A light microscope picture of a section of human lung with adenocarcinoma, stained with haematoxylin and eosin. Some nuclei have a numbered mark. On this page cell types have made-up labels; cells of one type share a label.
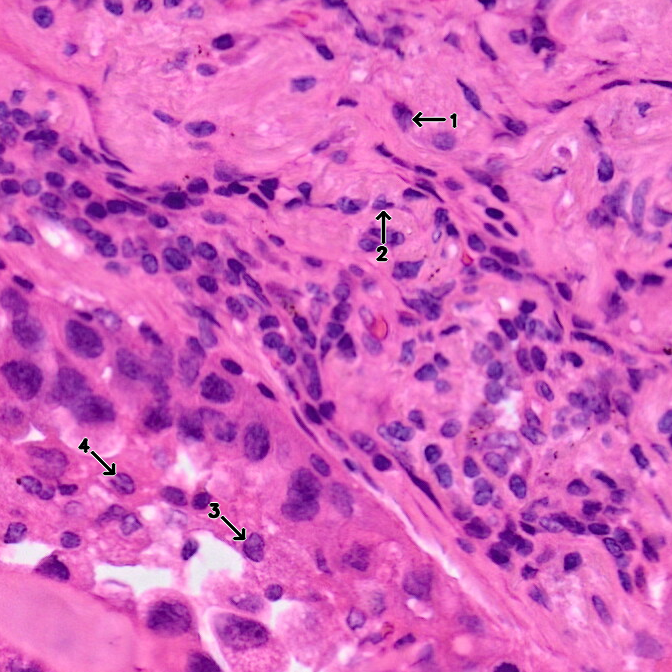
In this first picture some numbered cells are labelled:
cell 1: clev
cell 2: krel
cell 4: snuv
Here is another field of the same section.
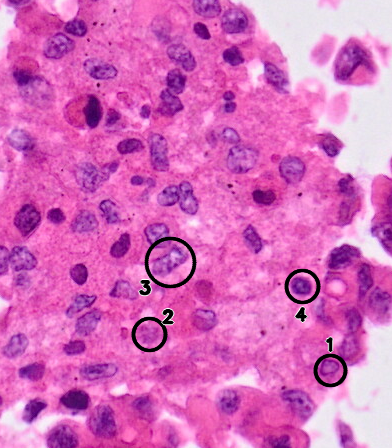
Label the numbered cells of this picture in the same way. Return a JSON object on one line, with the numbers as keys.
{"1": "snuv", "2": "snuv", "3": "snuv", "4": "krel"}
